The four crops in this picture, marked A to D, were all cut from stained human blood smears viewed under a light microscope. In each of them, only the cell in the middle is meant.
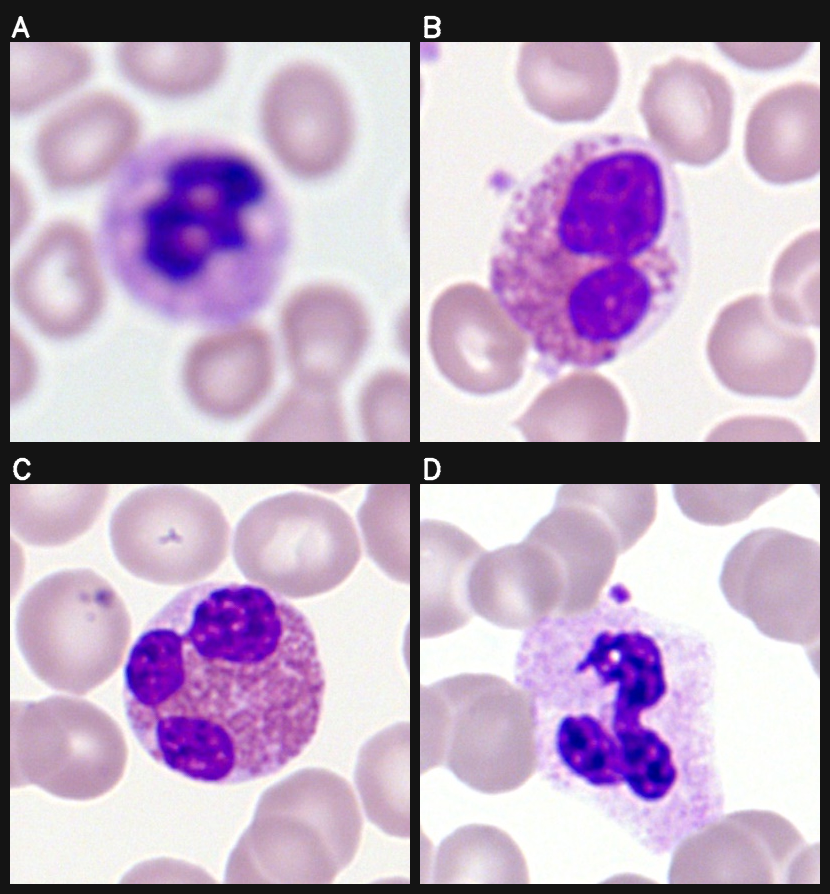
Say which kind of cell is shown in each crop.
A: neutrophil
B: eosinophil
C: eosinophil
D: neutrophil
